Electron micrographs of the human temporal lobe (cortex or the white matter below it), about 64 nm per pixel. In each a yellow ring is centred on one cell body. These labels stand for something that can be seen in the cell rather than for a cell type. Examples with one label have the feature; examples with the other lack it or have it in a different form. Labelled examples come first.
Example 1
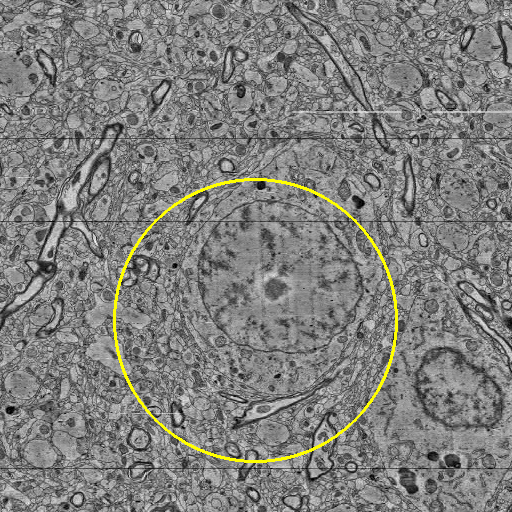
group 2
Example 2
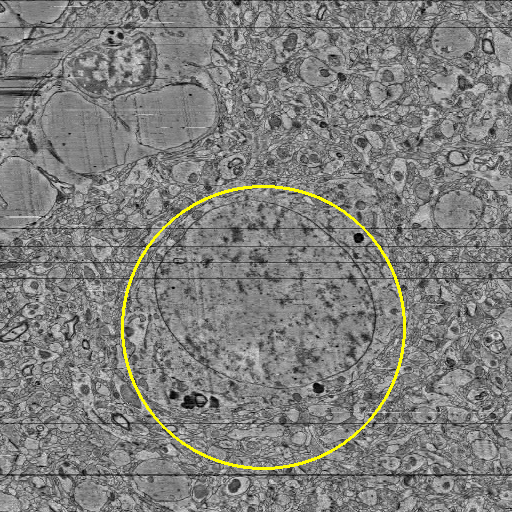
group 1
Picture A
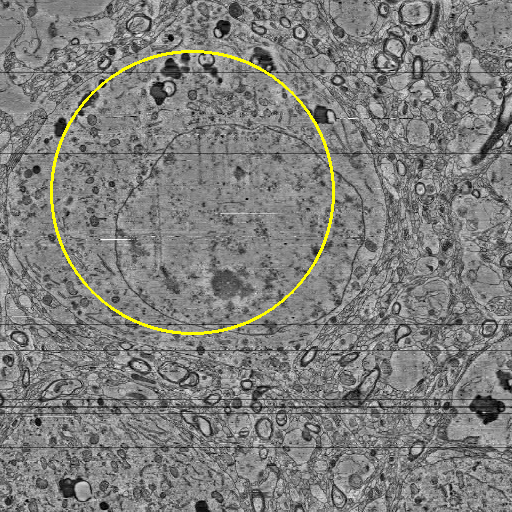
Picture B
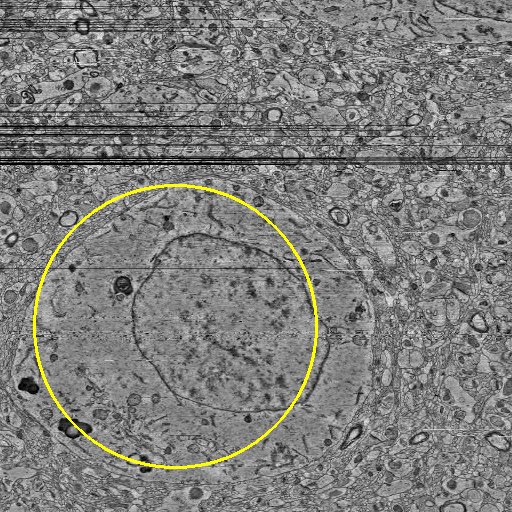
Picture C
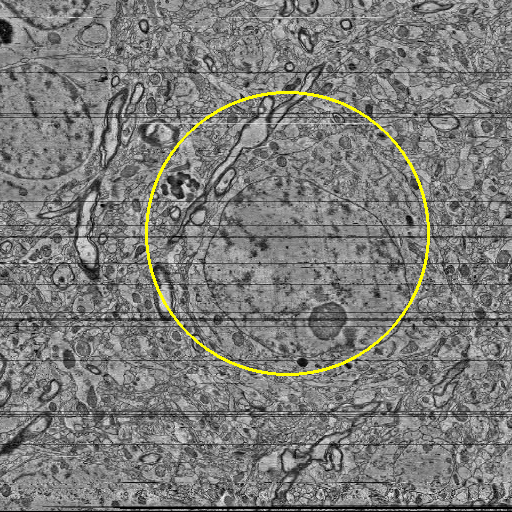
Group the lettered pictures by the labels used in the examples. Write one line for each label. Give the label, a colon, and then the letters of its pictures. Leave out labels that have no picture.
group 2: A, C
group 1: B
